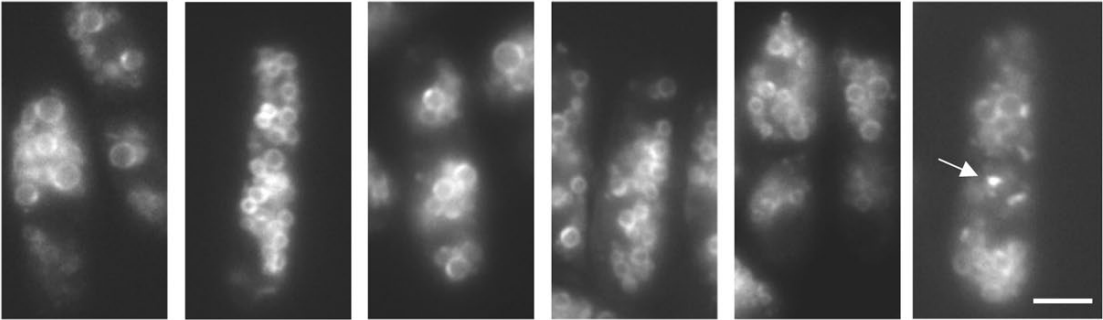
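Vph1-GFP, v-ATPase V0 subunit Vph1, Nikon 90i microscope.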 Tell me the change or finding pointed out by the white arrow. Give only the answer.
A: Abnormal accumulation.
